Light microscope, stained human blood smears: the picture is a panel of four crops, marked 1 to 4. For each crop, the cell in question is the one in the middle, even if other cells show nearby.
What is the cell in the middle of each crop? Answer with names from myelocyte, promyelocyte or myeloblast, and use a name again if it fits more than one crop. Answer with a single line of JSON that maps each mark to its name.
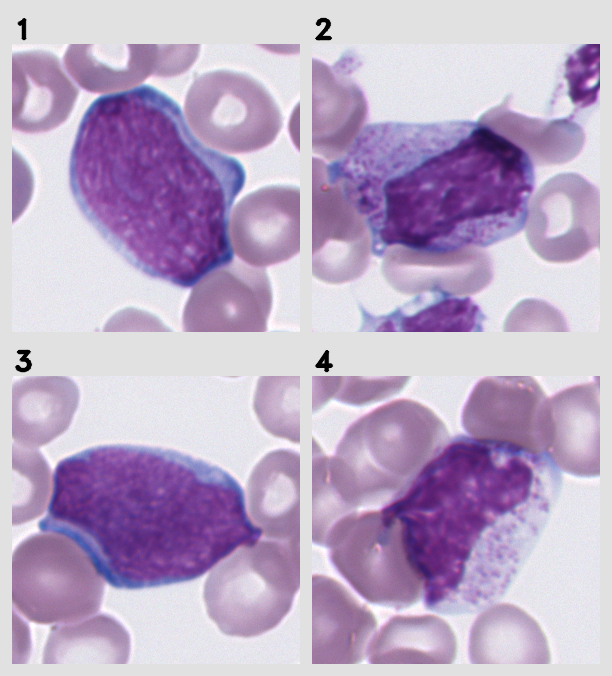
{"1": "myeloblast", "2": "myelocyte", "3": "myeloblast", "4": "myelocyte"}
